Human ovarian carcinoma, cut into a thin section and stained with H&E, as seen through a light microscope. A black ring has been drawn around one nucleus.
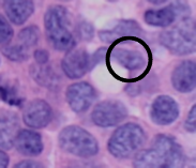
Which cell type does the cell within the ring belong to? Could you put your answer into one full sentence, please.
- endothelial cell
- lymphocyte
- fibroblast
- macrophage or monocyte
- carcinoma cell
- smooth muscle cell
Placed in its cell category, the cell within the ring is a carcinoma cell.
